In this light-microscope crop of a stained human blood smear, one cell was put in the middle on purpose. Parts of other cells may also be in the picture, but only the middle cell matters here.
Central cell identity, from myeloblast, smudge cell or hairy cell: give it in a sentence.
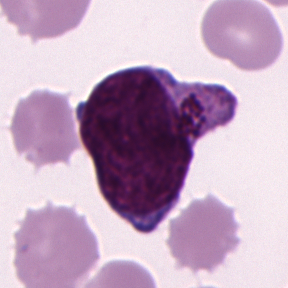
The identification for the central cell is a myeloblast.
